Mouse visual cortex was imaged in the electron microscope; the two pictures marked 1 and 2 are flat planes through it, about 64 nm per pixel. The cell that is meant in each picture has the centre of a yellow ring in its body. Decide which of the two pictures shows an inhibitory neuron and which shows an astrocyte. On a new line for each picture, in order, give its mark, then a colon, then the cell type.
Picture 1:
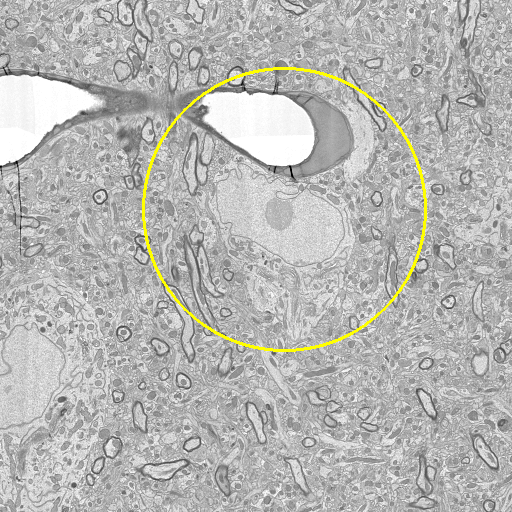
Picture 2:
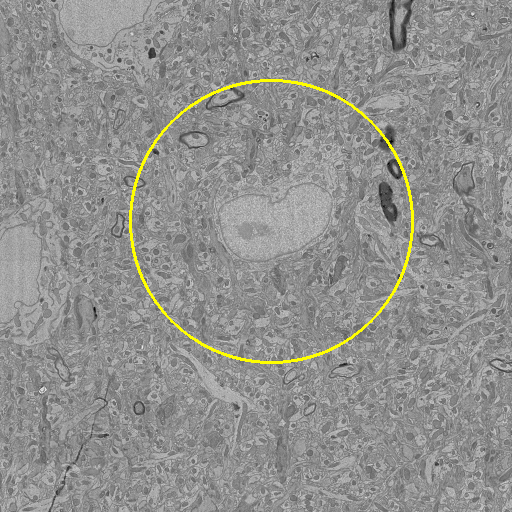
1: inhibitory neuron
2: astrocyte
